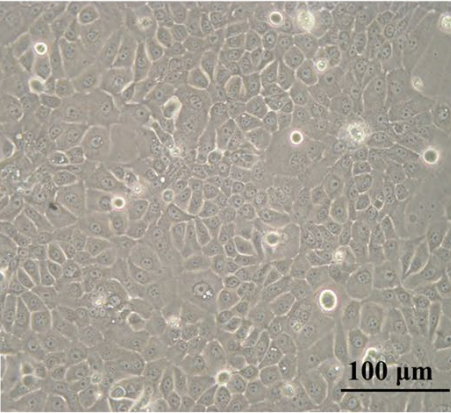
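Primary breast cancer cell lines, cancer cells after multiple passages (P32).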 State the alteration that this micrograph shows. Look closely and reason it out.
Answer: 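Cells are flat and many-sided, fitting together edge to edge. They form a near-continuous single layer. That points to this answer: cobble stone to polygonal appearance.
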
